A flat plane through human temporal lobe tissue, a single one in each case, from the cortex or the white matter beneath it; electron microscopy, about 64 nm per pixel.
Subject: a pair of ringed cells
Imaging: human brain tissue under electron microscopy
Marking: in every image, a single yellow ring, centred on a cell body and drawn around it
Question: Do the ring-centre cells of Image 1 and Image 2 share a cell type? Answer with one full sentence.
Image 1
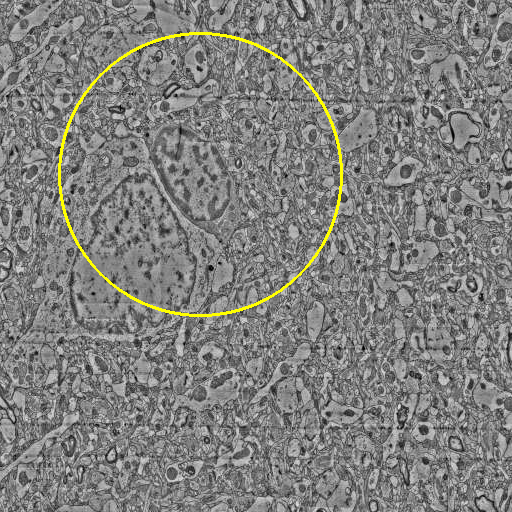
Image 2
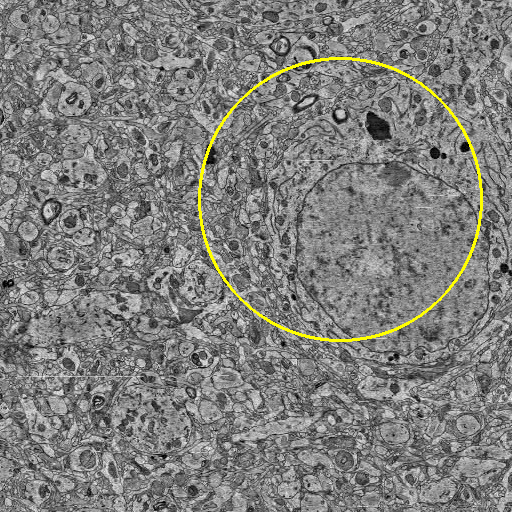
No, at the ring centres in the images sit cells of two separate types.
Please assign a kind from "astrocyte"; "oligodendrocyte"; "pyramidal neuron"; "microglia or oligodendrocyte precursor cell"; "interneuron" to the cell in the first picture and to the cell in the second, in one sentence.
In the first picture we have an oligodendrocyte, and in the second, a pyramidal neuron.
